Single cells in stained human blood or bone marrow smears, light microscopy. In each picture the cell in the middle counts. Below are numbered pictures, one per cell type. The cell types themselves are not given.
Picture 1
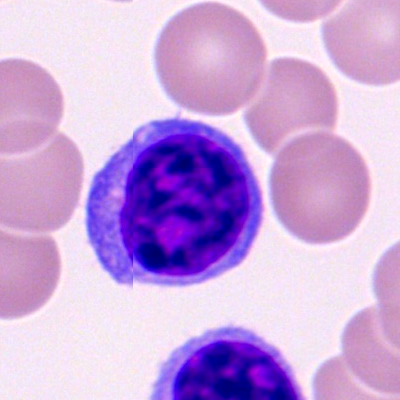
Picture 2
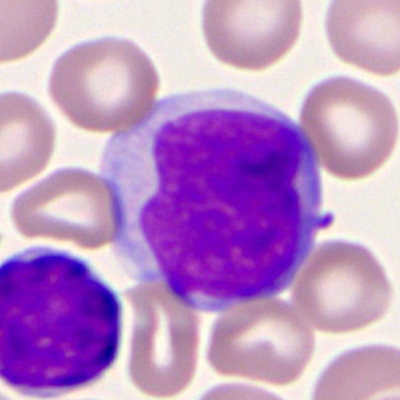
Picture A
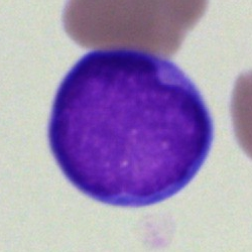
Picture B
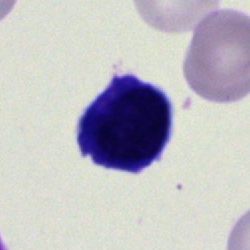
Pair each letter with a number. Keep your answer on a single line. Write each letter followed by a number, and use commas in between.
A 2, B 1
